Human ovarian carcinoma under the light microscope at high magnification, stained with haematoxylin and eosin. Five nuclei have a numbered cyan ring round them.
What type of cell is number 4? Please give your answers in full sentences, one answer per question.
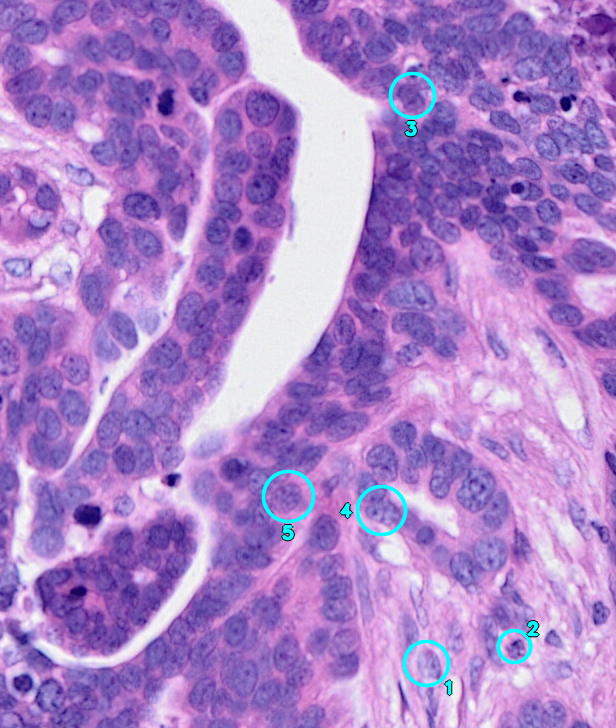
Here, the cell given the number 4 is a carcinoma cell.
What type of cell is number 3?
The marked cell bearing number 3 is a carcinoma cell.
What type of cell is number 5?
To a carcinoma cell belongs the nucleus marked 5.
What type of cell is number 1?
Cell 1 is classified as a fibroblast.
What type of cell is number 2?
The cell numbered 2 represents a lymphocyte.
